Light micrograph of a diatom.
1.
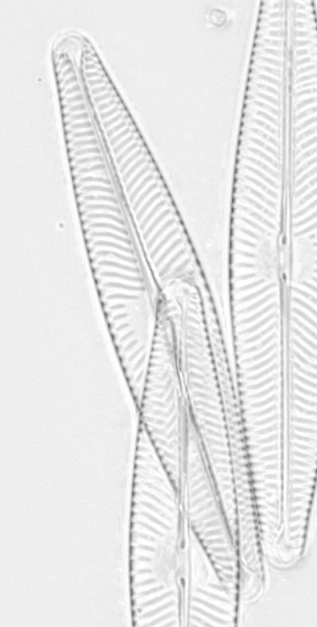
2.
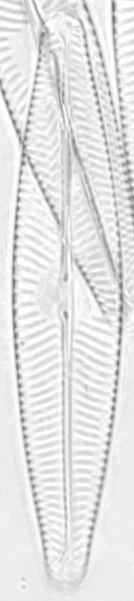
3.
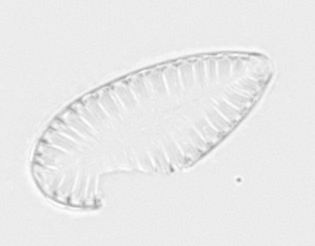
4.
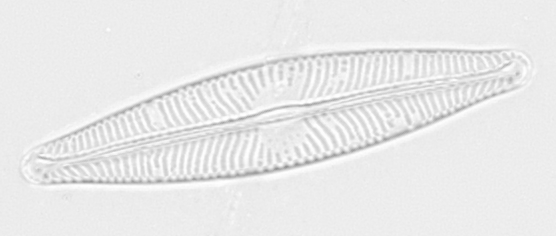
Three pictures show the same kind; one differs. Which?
Picture 3: Surirella, while the others are Navicula.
